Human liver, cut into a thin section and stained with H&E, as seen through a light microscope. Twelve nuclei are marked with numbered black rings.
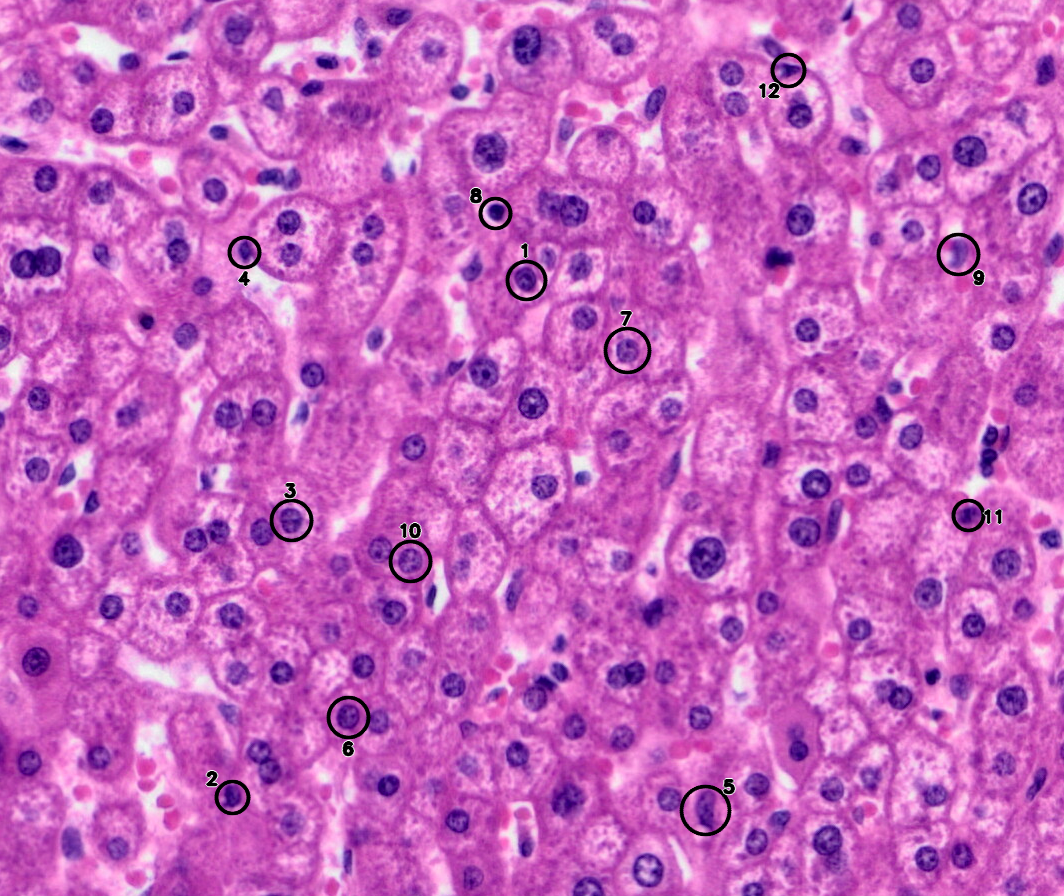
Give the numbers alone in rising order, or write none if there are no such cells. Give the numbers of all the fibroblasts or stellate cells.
2, 4, 11, 12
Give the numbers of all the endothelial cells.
9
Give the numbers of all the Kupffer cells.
5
